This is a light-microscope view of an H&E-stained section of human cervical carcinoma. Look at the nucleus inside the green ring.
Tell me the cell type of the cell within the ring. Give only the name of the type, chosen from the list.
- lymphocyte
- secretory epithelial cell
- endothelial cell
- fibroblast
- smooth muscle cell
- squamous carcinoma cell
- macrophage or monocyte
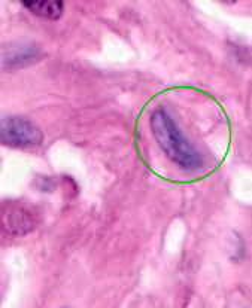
squamous carcinoma cell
